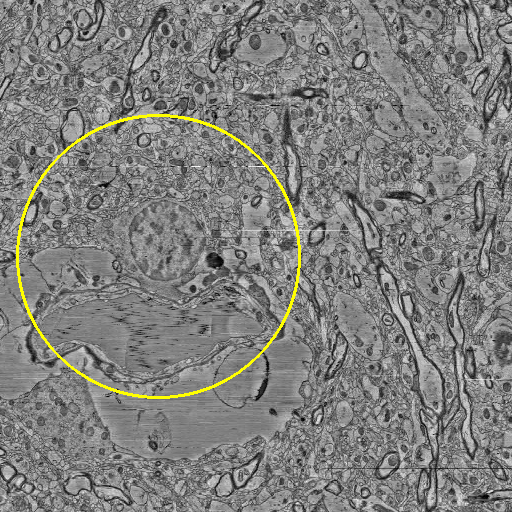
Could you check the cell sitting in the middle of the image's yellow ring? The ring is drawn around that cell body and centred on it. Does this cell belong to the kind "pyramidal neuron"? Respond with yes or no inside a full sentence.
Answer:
No, this cell in the middle of the yellow ring is one of a different kind.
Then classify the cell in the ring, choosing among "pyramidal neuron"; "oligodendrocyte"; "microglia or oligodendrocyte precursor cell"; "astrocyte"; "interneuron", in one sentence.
The cell in the ring is an oligodendrocyte instead.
